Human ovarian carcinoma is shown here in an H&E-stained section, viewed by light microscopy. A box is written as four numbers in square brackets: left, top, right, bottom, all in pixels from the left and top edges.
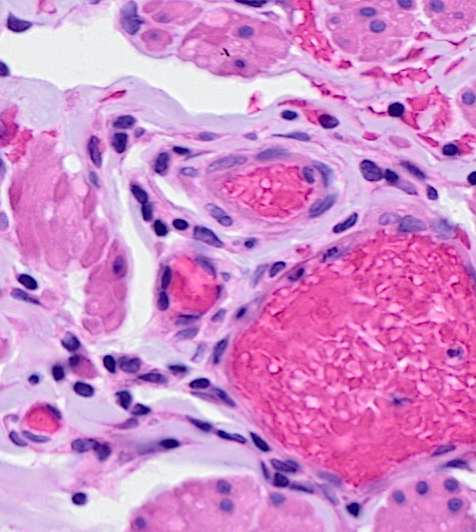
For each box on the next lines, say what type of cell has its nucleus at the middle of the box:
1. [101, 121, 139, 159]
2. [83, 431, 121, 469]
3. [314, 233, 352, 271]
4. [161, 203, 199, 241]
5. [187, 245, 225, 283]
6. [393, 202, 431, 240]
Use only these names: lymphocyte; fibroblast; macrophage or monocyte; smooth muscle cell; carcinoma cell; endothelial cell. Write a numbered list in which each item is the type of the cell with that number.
1. lymphocyte
2. lymphocyte
3. endothelial cell
4. lymphocyte
5. endothelial cell
6. endothelial cell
